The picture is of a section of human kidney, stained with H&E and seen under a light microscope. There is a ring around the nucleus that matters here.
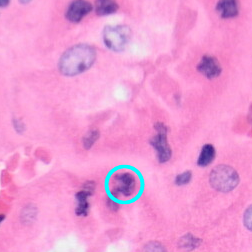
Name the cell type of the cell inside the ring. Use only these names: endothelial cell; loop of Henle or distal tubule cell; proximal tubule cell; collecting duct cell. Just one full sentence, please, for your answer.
Histopathologically, the cell inside the ring is a proximal tubule cell.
